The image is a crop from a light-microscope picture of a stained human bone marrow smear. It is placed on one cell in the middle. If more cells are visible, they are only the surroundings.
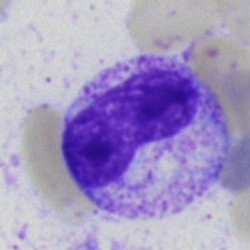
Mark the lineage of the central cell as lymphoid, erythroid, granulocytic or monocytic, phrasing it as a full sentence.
The central cell of this crop is a member of the granulocytic line of development.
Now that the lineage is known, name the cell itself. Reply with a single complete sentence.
As for the central cell, it is a myelocyte.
